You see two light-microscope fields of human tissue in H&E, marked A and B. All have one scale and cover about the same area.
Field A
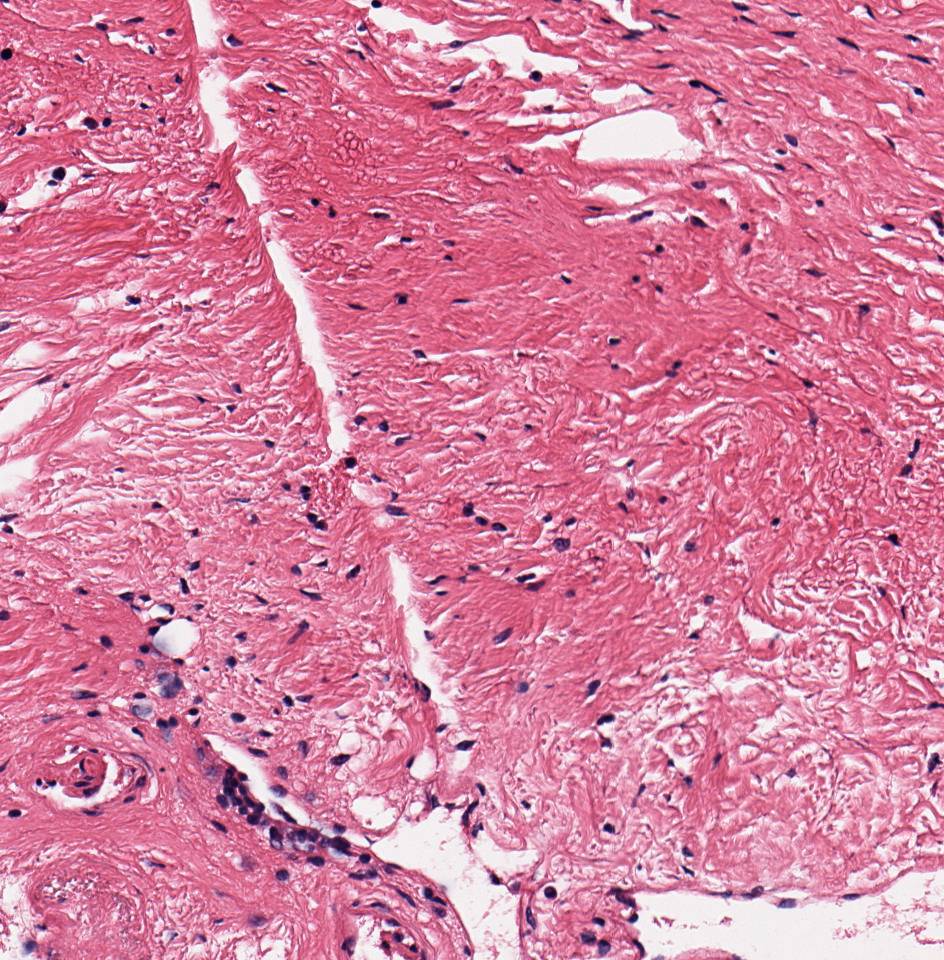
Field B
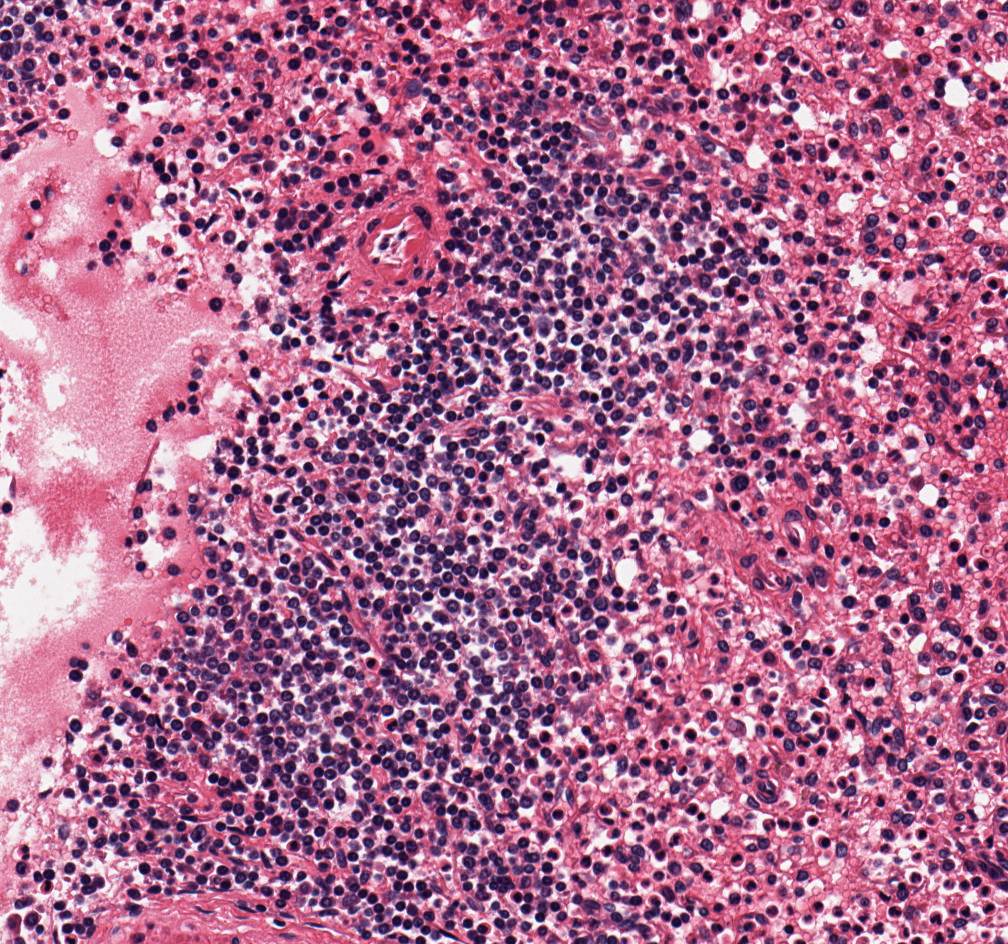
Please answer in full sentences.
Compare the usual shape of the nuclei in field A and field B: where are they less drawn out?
The nuclei are rounder in field B.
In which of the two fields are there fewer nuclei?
Field A holds fewer nuclei than field B.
